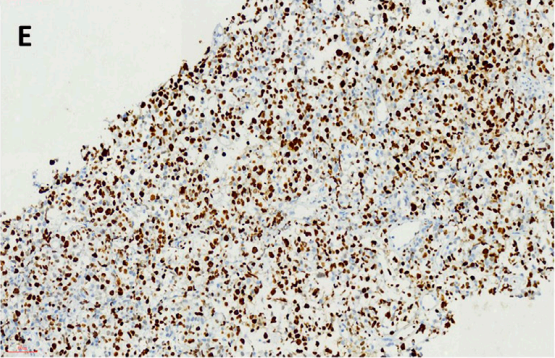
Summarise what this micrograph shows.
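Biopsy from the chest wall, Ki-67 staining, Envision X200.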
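This core of tumor tissue shows densely packed tumor cells in which a large share of the nuclei are stained dark brown. The brown nuclei are round to oval and scattered throughout the whole core rather than confined to one zone. Between them lie nuclei that take only the pale blue counterstain, and a few strands of pale stroma cross the tissue.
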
